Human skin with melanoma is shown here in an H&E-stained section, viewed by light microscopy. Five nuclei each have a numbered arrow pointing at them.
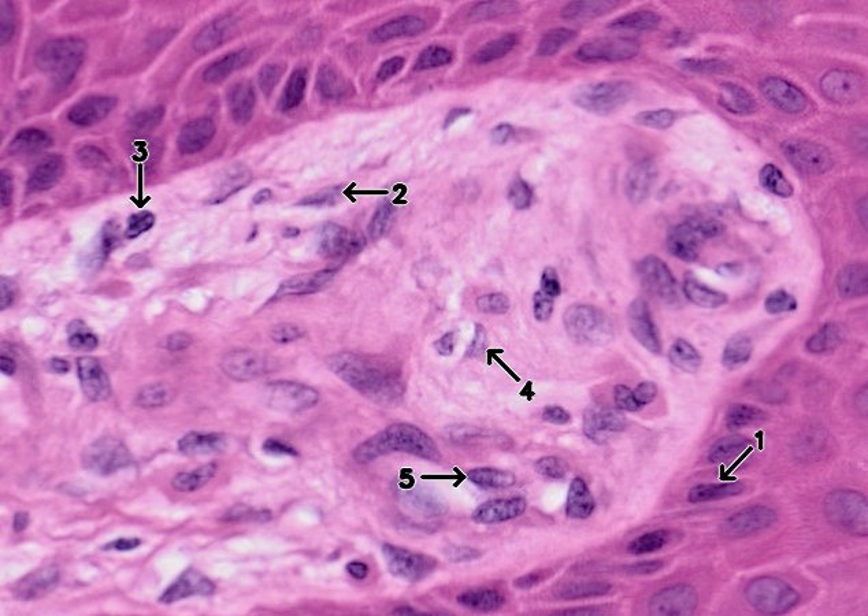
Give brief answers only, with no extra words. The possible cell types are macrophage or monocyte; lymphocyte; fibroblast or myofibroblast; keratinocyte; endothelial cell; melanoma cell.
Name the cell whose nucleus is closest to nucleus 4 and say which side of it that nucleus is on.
a lymphocyte, to the left of nucleus 4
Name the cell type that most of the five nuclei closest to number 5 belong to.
endothelial cell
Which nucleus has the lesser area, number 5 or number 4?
4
